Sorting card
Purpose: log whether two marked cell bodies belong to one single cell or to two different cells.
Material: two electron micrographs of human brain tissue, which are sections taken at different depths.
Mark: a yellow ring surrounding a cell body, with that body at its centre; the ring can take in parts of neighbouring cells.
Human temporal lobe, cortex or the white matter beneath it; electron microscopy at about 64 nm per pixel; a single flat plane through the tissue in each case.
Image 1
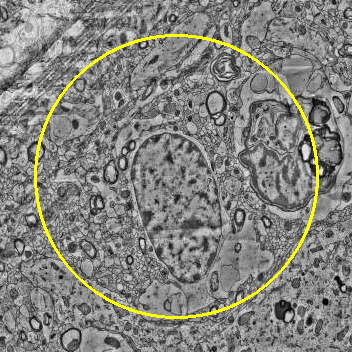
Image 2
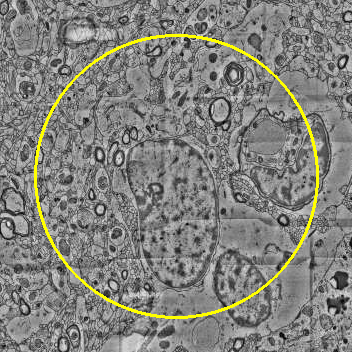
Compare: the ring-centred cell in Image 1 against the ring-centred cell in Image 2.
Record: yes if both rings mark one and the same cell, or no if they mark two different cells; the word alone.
yes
